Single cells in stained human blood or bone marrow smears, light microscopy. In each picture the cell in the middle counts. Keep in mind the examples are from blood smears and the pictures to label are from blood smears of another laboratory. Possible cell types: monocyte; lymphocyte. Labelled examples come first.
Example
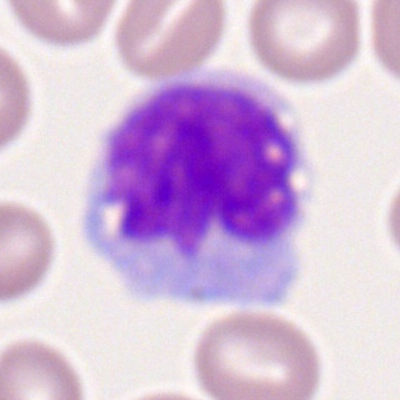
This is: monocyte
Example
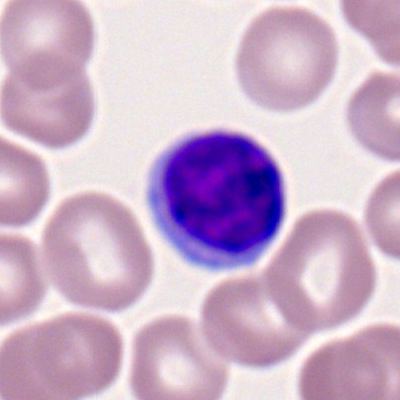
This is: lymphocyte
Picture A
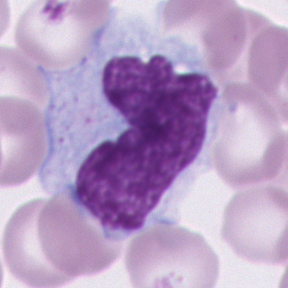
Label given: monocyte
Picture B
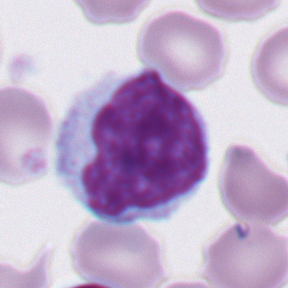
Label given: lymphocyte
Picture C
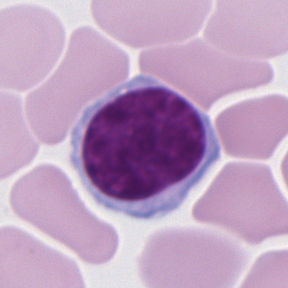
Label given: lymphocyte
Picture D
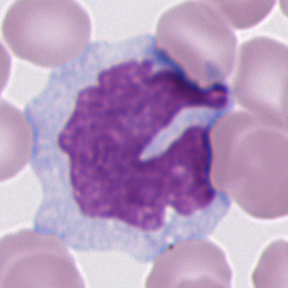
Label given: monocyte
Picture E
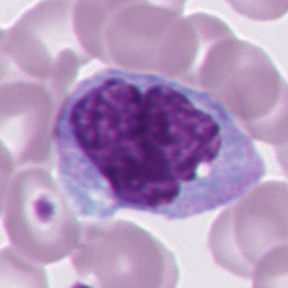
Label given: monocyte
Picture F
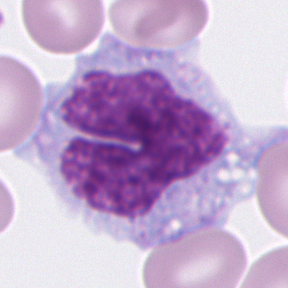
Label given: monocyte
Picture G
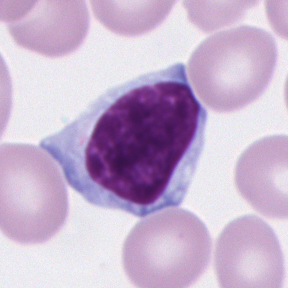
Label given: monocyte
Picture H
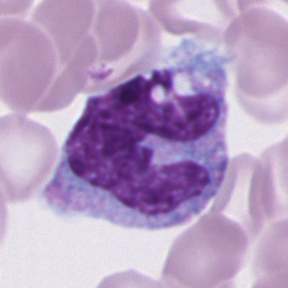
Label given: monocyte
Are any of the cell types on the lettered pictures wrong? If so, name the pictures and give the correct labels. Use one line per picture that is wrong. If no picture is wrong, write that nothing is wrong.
G should be lymphocyte, not monocyte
